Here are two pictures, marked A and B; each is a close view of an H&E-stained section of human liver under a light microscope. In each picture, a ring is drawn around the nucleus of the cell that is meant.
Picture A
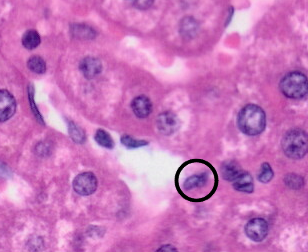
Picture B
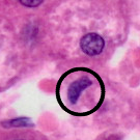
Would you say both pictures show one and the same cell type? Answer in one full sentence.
Yes, both cells are “fibroblasts or stellate cells”.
